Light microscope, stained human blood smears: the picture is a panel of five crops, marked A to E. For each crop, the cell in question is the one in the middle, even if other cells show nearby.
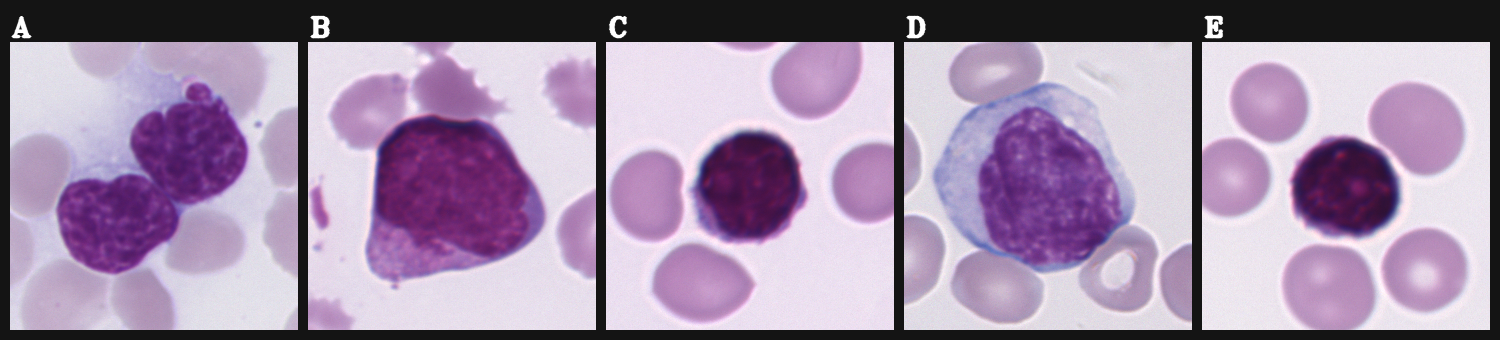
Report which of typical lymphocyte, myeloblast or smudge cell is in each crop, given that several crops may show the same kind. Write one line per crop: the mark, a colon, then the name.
A: myeloblast
B: myeloblast
C: typical lymphocyte
D: myeloblast
E: typical lymphocyte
